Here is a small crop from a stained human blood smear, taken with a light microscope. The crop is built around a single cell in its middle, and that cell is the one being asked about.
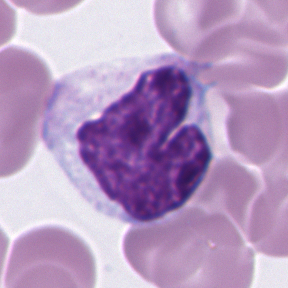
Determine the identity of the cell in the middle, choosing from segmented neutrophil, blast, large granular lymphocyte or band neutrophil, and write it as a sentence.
For this crop, the cell in the middle is a band neutrophil.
